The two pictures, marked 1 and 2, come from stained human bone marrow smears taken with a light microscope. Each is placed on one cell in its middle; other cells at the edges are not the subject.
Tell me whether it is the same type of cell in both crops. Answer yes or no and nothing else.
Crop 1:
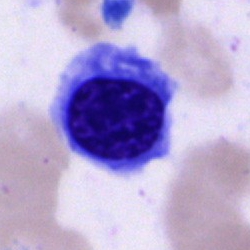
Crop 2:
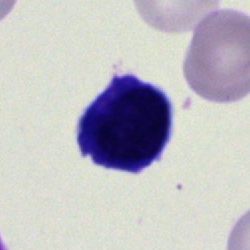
no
